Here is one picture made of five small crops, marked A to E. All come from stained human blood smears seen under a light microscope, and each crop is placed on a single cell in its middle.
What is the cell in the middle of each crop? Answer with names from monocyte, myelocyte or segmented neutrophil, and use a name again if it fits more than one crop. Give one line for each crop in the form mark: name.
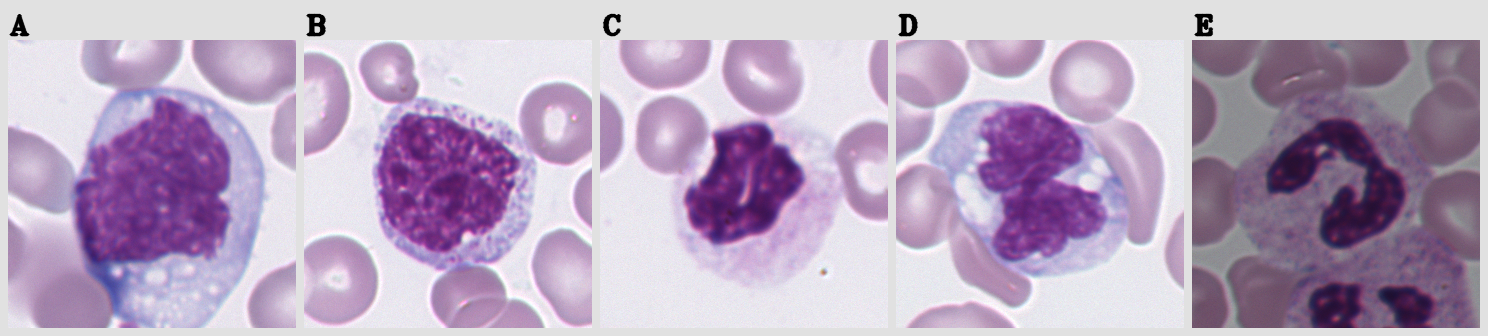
A: monocyte
B: myelocyte
C: segmented neutrophil
D: monocyte
E: segmented neutrophil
